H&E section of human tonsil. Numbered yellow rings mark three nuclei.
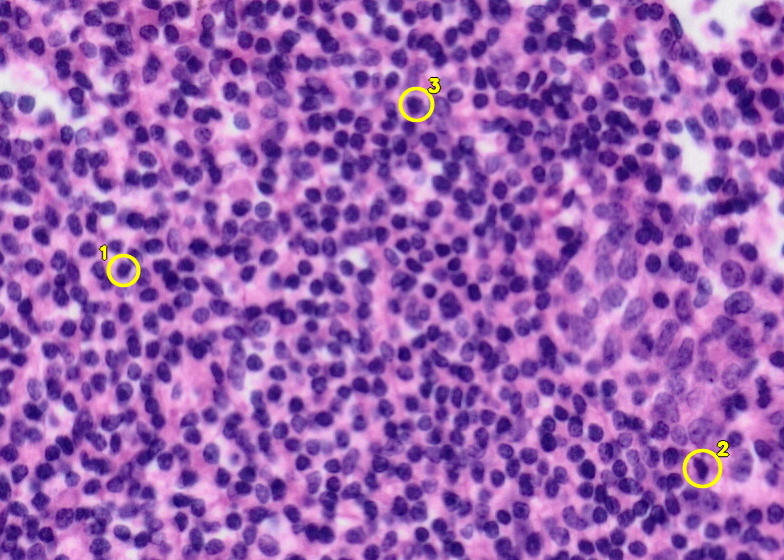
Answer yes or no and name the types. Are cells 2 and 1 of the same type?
No, cell 2 is a proliferating B cell, and cell 1, on the other hand, is a small lymphocyte.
